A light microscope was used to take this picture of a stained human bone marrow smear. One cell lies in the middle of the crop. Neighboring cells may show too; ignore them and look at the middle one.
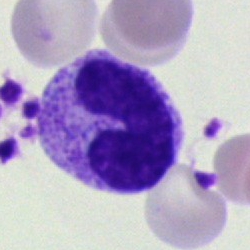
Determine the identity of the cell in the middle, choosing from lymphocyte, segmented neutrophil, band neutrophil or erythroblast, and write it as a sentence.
The cell occupying the middle of the crop is a band neutrophil.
